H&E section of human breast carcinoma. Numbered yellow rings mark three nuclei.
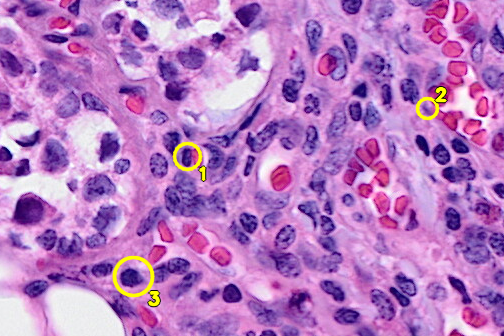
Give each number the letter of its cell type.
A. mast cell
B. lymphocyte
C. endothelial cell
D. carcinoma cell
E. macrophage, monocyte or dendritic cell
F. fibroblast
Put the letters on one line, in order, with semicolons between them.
C; C; B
